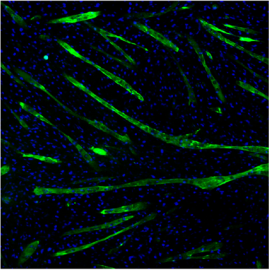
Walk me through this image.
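Cultured myotubes are seen here as green, elongated cells on a dark field dotted with small blue nuclei. Blue nuclei lie scattered over the whole background between the tubes, where much open dark space remains, and a few lie within the green cells.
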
